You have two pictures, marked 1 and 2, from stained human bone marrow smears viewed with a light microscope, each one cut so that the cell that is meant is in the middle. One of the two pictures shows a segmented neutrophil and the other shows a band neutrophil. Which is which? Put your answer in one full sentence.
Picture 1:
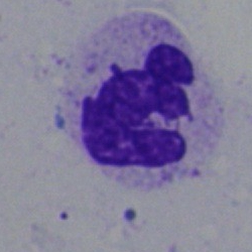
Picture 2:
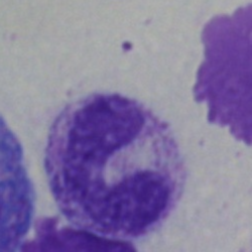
Picture 1 shows a segmented neutrophil and picture 2 shows a band neutrophil.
